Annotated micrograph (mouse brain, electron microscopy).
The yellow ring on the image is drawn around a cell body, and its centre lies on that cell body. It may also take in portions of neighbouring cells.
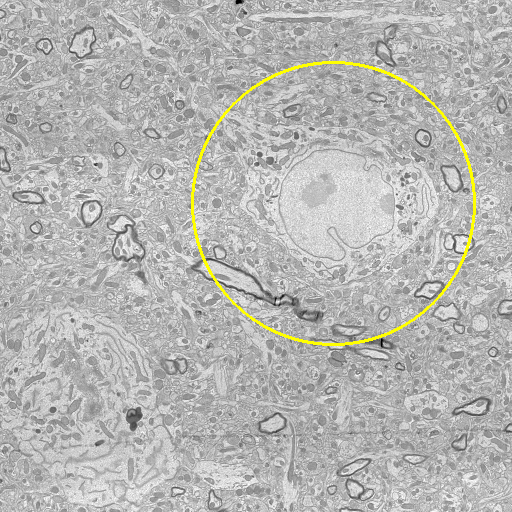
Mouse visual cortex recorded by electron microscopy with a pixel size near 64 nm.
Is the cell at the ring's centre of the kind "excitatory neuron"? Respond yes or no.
No, it is of another kind.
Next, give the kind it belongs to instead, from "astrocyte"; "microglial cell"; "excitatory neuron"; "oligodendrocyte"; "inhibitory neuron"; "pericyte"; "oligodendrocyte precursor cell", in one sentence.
Instead, the cell at the centre of the ring is an inhibitory neuron.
